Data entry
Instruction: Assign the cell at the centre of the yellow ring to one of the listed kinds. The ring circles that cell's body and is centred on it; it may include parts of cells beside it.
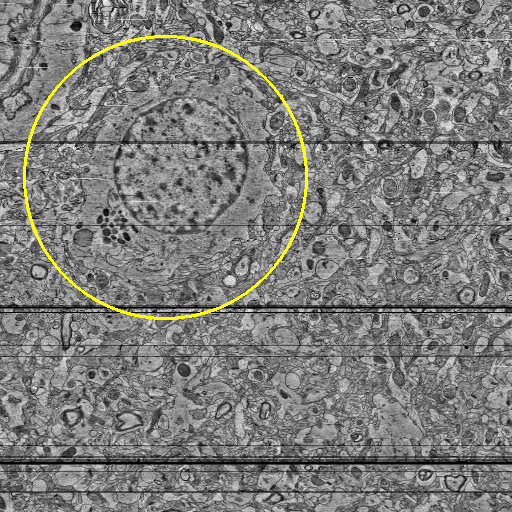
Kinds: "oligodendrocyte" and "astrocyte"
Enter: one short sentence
The centre of the ring falls on an astrocyte.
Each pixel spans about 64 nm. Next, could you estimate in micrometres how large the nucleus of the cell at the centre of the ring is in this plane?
In this plane the ringed cell's nucleus is roughly 8 micrometres across.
